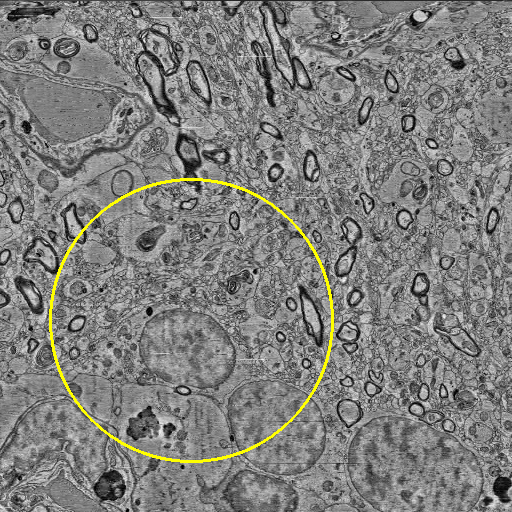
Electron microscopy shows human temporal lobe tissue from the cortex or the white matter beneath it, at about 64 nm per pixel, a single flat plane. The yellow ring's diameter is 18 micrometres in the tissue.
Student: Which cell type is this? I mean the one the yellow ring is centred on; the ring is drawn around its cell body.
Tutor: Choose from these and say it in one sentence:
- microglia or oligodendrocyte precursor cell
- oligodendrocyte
The cell the ring is centred on is an oligodendrocyte.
